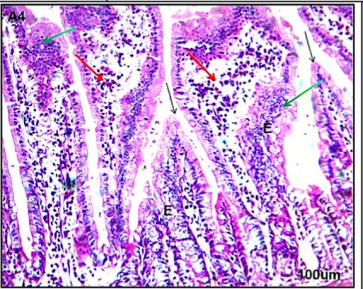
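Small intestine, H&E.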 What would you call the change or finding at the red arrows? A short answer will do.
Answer: dense inflammatory cellular infiltrate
